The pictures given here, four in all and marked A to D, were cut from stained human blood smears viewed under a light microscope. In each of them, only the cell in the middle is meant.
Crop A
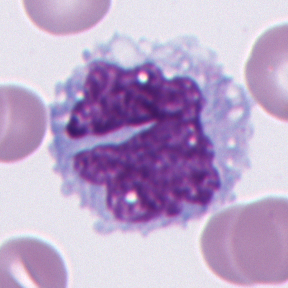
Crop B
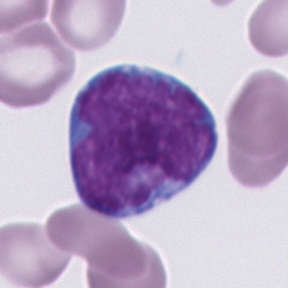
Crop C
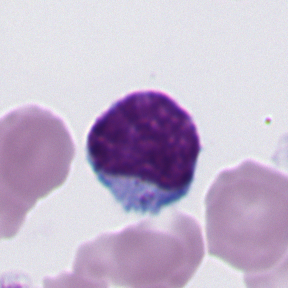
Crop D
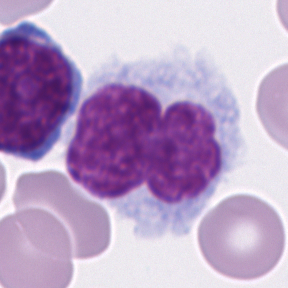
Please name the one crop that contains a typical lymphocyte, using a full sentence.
When the crops are compared, crop C is the one showing a typical lymphocyte.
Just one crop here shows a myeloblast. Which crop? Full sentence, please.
Crop B is where a myeloblast is shown.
